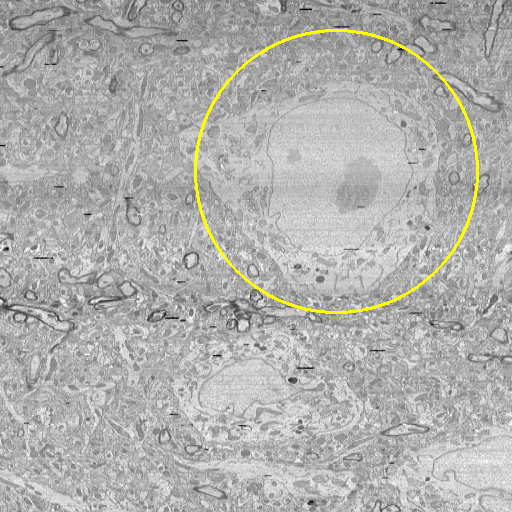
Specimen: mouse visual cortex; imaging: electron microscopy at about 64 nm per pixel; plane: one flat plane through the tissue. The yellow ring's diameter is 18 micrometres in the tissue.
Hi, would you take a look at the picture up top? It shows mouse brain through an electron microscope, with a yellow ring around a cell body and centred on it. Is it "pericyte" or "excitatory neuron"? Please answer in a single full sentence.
The best fit for the cell in the middle of the ring is an excitatory neuron, I reckon.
